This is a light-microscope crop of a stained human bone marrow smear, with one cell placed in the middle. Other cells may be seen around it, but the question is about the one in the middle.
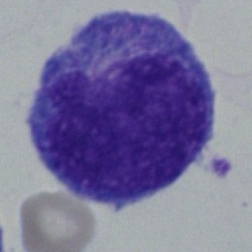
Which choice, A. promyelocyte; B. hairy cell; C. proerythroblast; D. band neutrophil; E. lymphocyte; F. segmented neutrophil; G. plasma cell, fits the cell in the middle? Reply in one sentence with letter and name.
Correctly, option A names the cell in the middle a promyelocyte.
